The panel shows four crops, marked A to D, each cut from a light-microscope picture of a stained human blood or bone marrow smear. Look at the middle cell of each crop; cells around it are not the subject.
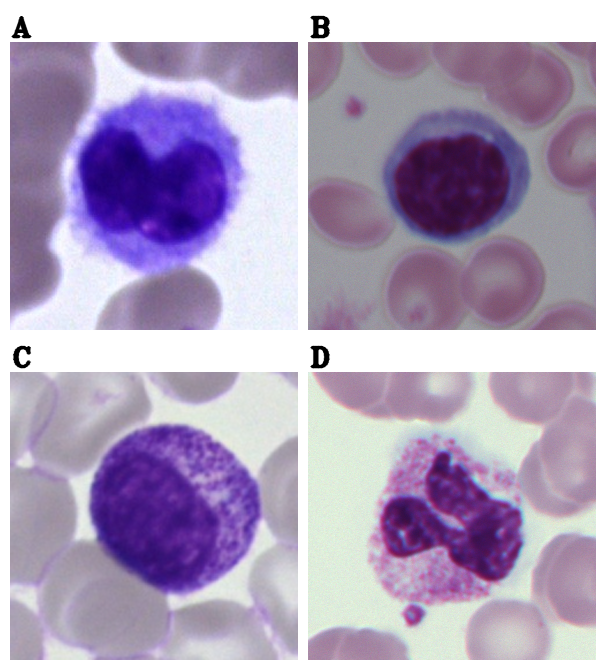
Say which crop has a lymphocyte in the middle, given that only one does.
B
